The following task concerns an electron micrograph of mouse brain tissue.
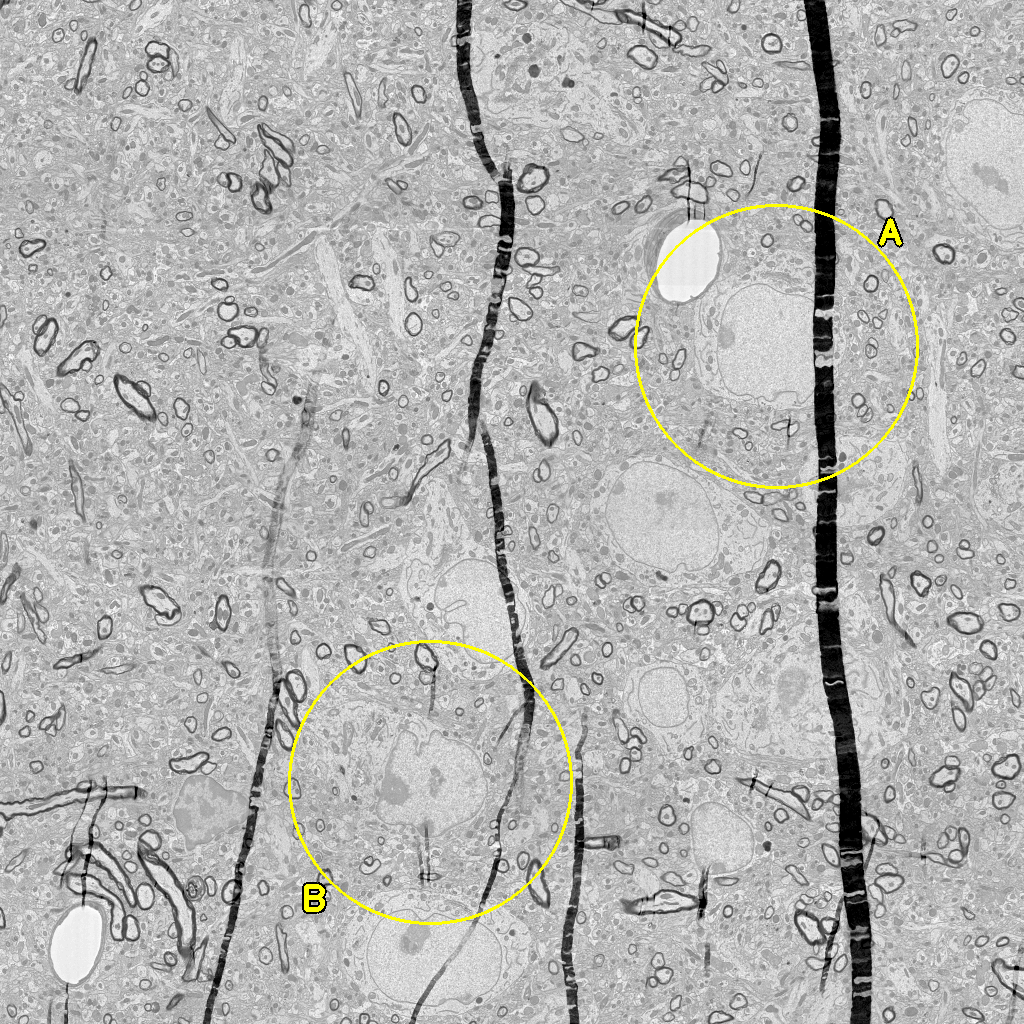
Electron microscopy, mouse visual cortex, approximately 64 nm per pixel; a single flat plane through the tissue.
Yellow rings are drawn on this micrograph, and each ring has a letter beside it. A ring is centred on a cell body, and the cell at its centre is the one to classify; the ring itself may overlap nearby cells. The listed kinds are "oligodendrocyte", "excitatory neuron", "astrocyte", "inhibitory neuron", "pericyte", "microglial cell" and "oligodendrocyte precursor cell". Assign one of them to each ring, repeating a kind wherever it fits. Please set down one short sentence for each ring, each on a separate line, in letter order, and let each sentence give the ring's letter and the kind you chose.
The cell ringed as A is an excitatory neuron.
The cell ringed as B is an oligodendrocyte precursor cell.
